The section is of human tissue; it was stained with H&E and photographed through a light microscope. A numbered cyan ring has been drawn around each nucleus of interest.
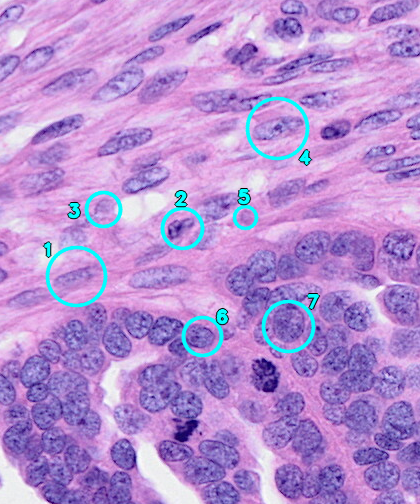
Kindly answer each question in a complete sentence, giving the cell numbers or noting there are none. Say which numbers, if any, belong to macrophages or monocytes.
The numbered cells are entirely free of macrophages or monocytes.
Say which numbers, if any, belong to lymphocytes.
Only cell 2 should be marked as a lymphocyte.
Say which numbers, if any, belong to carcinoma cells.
The cells numbered 6 and 7 are identified as carcinoma cells.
